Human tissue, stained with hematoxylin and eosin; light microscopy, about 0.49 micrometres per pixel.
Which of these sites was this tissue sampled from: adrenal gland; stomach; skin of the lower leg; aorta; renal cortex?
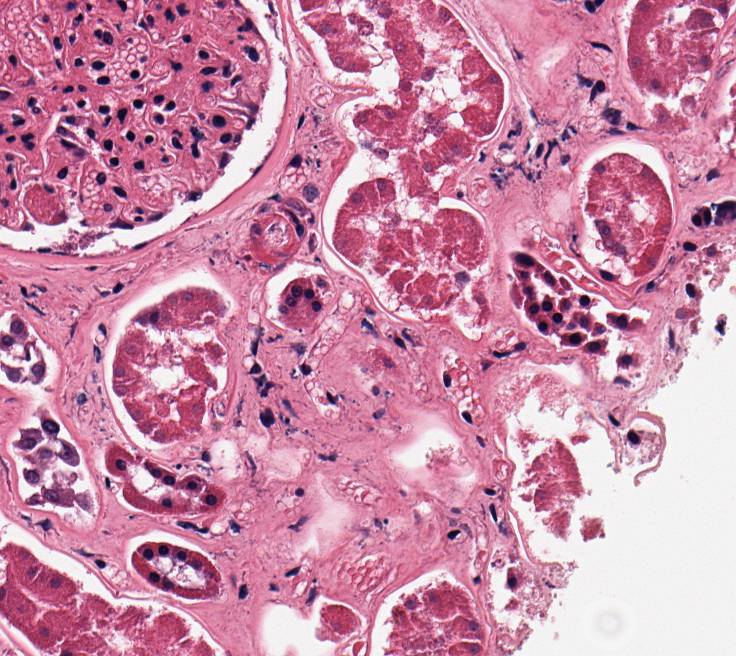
renal cortex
